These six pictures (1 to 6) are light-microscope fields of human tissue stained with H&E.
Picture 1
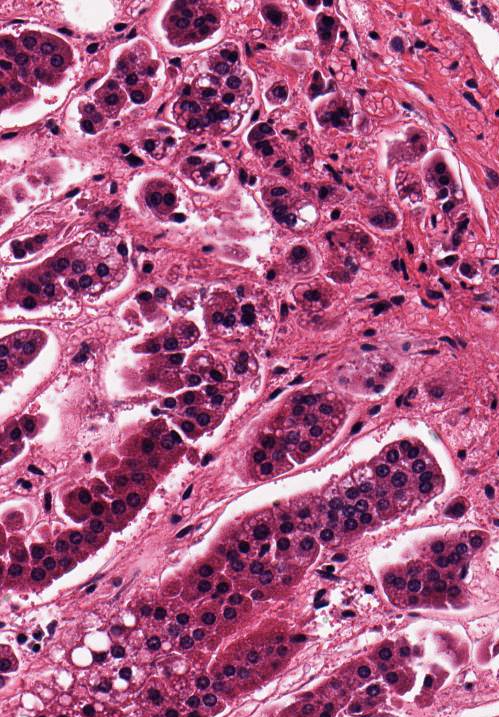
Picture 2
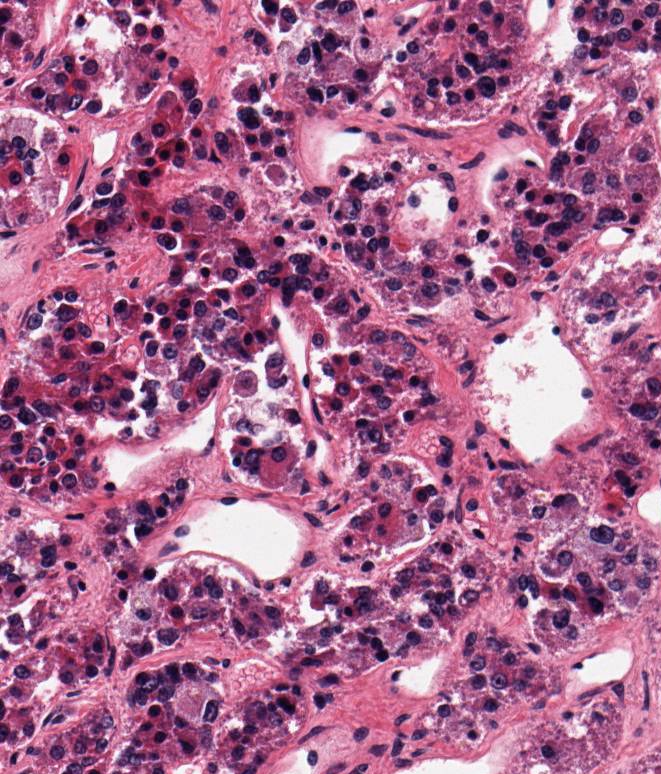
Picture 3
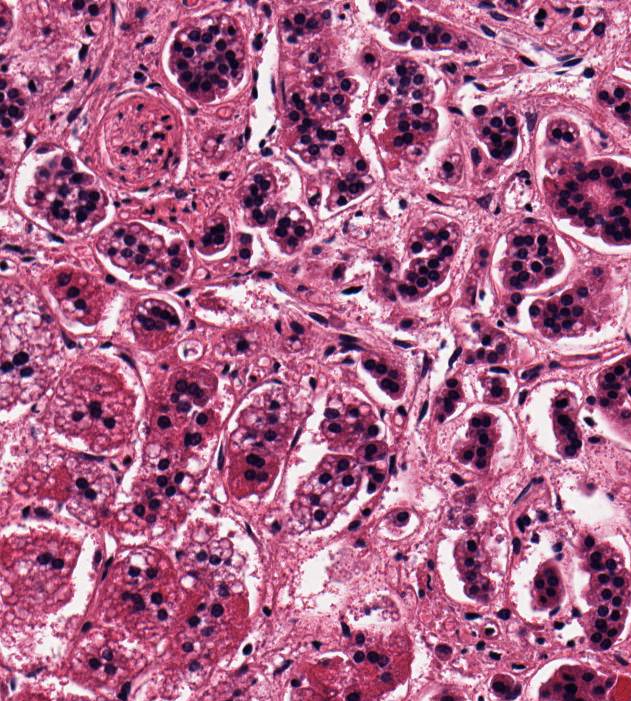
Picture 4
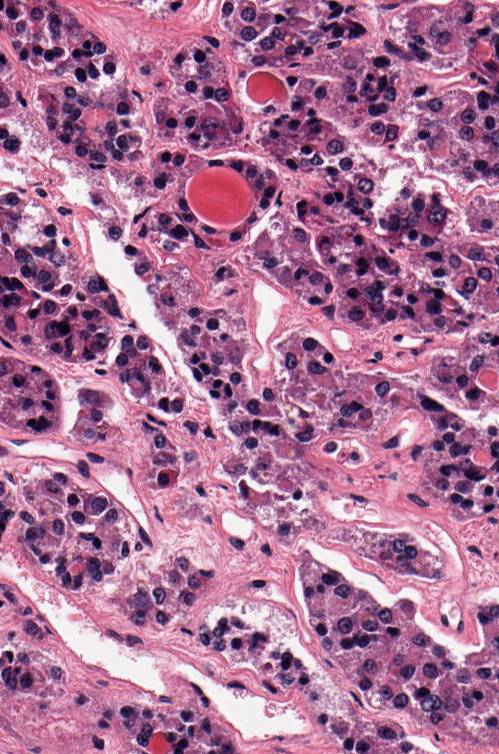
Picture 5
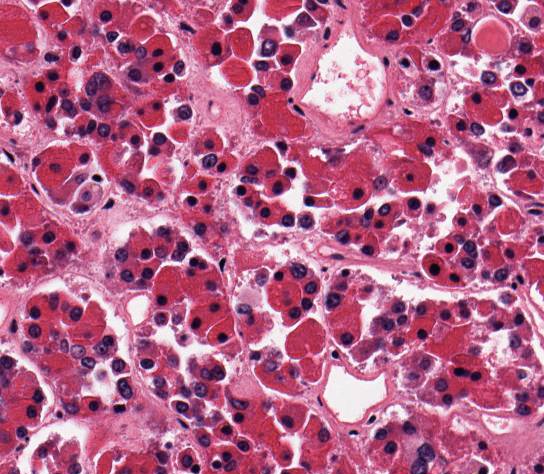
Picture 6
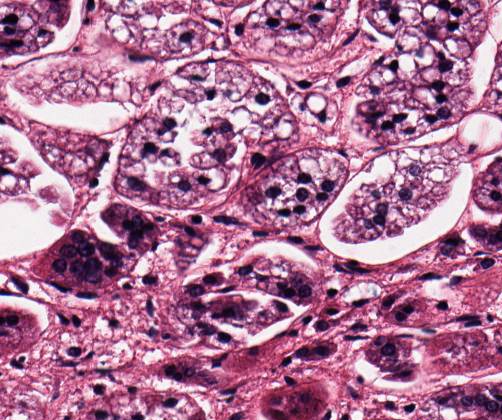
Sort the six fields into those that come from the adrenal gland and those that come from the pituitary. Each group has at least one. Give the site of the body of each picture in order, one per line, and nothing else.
adrenal gland
pituitary
adrenal gland
pituitary
pituitary
adrenal gland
